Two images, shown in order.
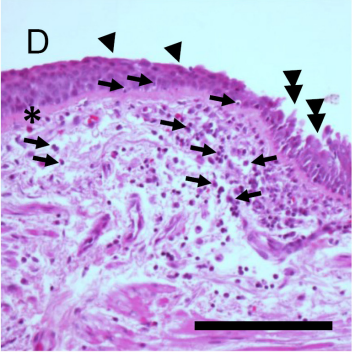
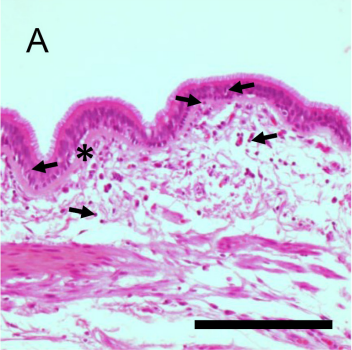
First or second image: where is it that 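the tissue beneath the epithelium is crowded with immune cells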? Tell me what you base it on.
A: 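First image: dense small dark nuclei fill the tissue beneath the epithelium. Second image: the loose tissue beneath the epithelium holds only scattered cells. That points to this answer: the first image.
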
